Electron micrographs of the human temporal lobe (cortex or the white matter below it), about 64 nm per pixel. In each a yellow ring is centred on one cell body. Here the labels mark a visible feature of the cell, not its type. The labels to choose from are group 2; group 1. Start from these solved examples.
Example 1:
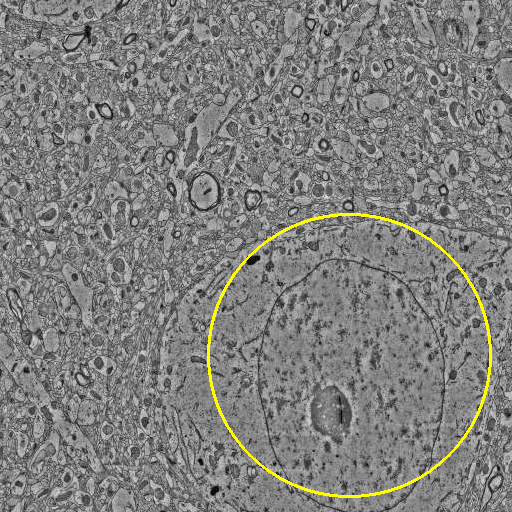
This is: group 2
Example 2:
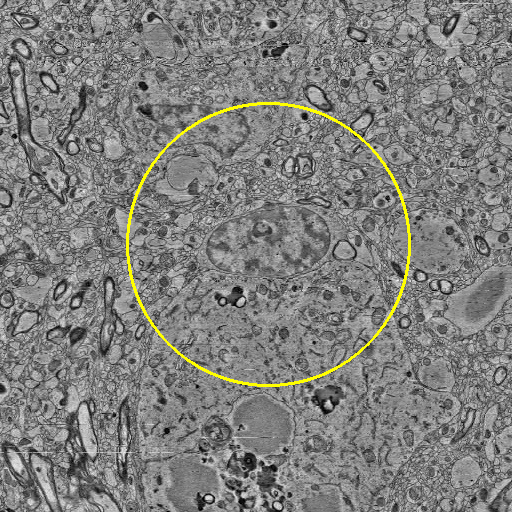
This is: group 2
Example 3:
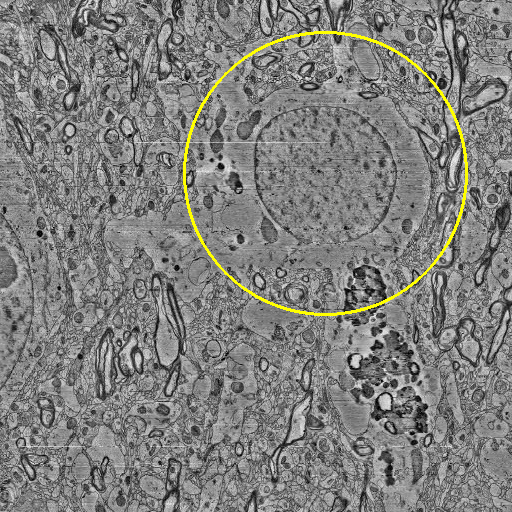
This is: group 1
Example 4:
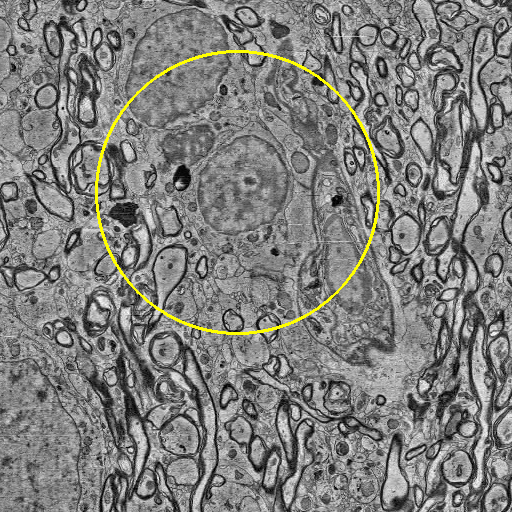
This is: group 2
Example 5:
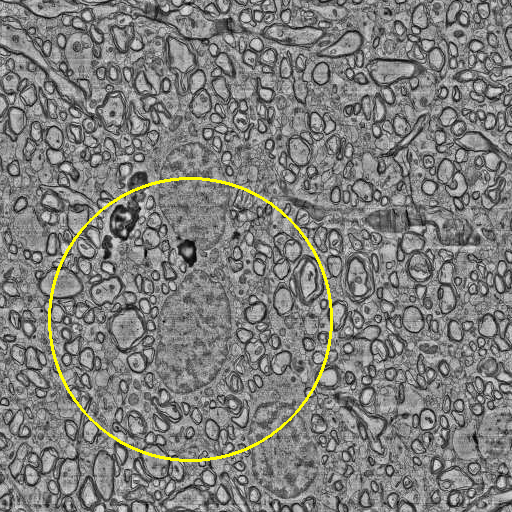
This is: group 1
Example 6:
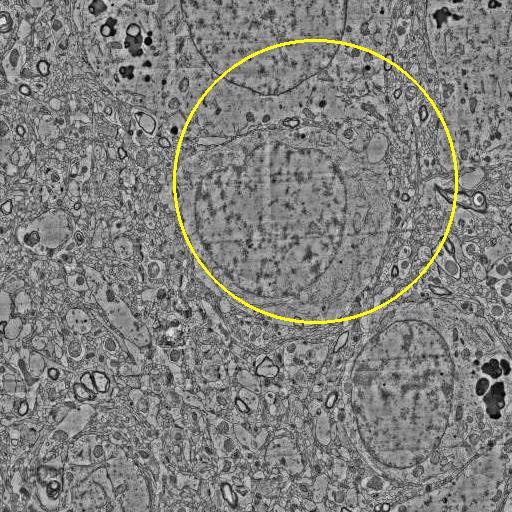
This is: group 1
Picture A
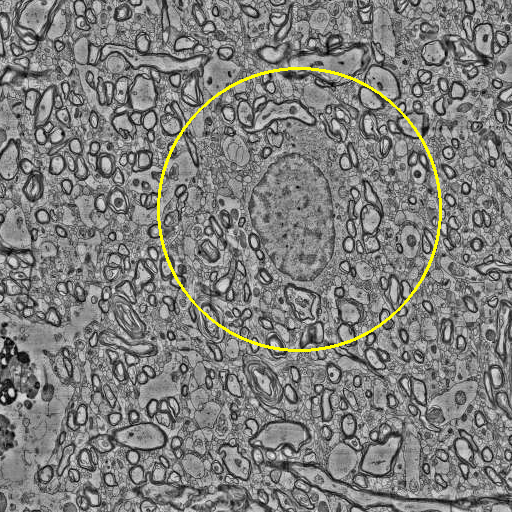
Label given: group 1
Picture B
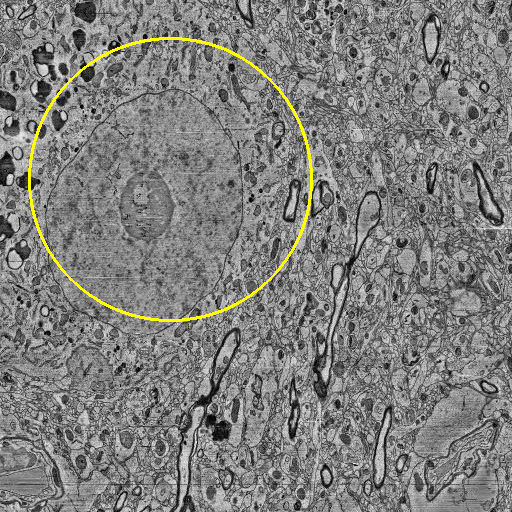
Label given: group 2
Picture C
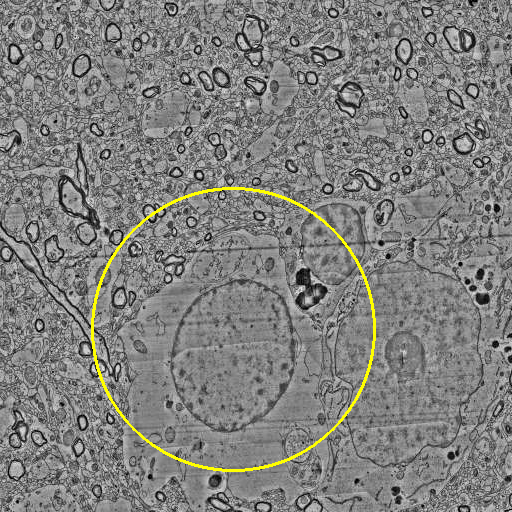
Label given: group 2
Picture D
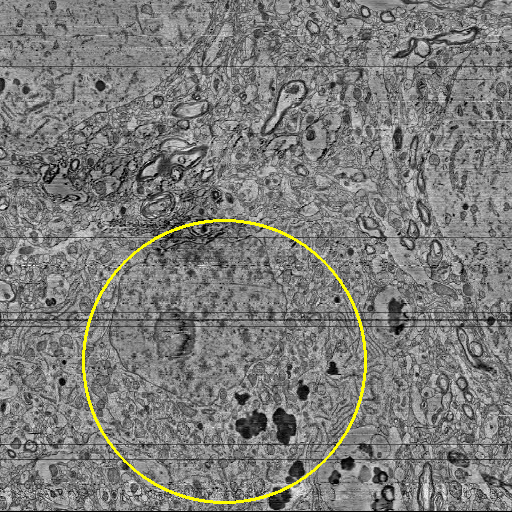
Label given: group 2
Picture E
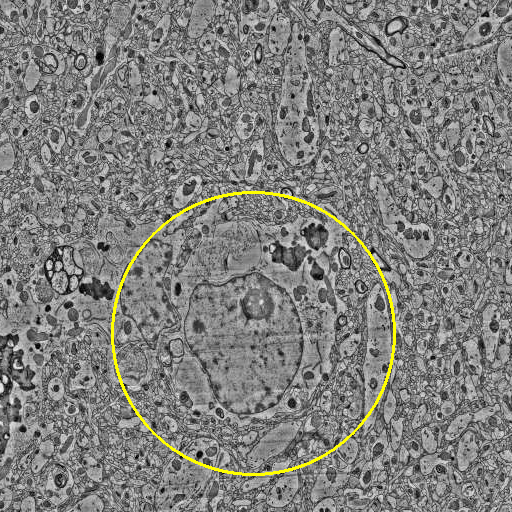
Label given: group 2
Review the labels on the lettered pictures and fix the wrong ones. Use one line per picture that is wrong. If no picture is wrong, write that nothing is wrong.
C should be group 1, not group 2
